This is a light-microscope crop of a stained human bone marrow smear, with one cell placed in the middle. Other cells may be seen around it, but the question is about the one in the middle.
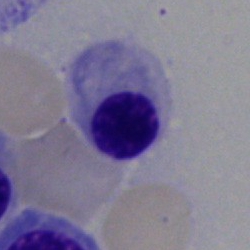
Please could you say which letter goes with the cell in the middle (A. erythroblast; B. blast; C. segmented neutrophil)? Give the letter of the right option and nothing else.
A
